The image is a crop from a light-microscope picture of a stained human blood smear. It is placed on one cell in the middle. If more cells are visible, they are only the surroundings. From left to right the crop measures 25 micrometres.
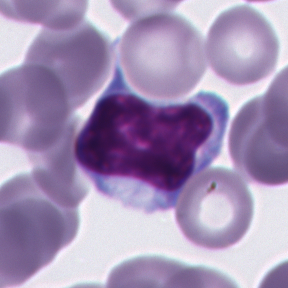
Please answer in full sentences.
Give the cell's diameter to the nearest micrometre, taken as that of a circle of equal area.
The cell is about 12 micrometres across.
